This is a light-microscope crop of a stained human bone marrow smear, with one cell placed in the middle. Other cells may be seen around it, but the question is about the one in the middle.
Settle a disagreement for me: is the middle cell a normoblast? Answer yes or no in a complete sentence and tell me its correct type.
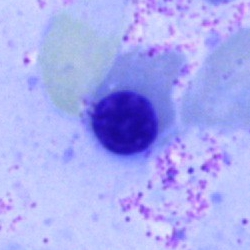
Yes, the cell that lies centrally is a normoblast.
